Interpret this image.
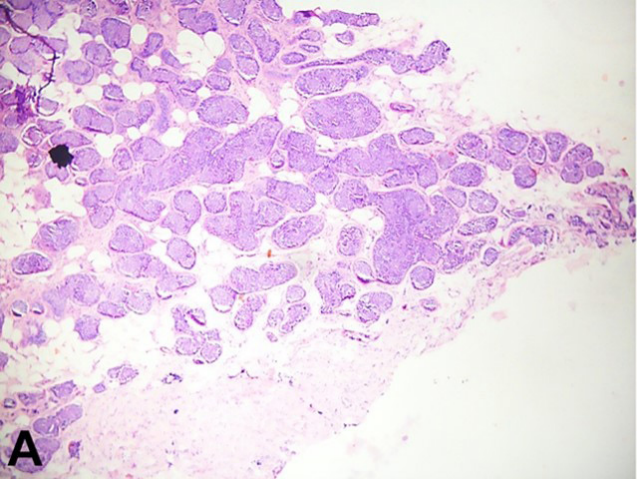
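At low power the tumor is made of many compact, deeply purple nests of basaloid cells. The nests are rounded or irregular and lie packed closely against one another, so that they fit together like pieces of a jigsaw puzzle. Thin pale strands of stroma run between them, and looser pale tissue lies at the edge of the sample.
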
